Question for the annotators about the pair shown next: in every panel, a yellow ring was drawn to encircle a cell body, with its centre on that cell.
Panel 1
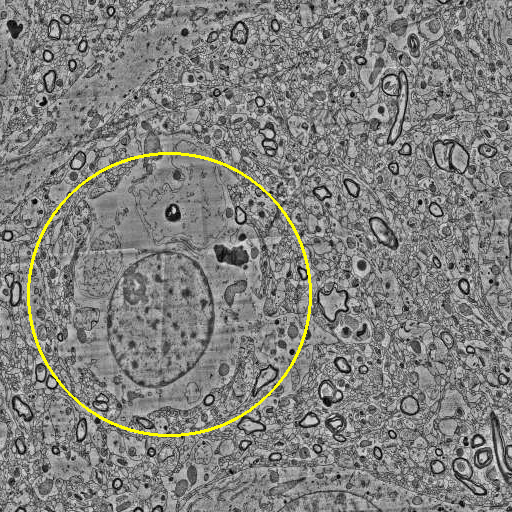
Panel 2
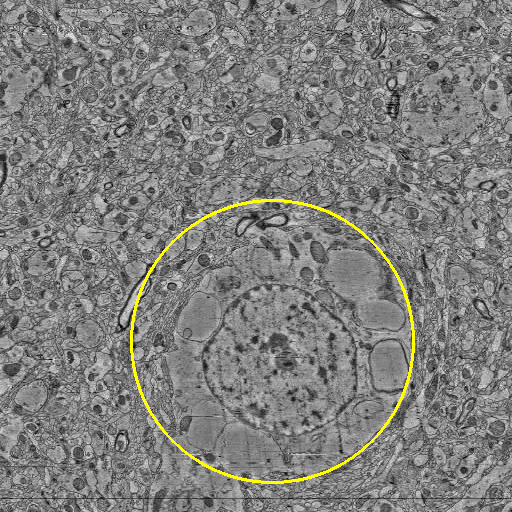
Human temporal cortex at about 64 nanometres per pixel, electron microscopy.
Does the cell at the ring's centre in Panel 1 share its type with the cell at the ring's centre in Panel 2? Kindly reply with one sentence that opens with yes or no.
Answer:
Yes, in Panels 1 and 2 the cells at the ring centres belong to a single type.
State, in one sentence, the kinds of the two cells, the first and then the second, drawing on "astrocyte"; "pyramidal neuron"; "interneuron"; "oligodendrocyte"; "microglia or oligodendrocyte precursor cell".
Each of the ringed cells, first and second, is an astrocyte.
